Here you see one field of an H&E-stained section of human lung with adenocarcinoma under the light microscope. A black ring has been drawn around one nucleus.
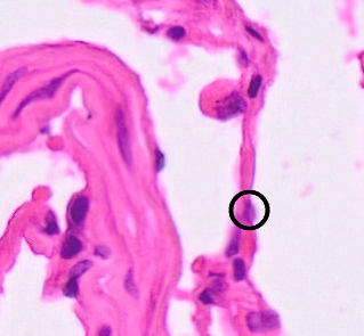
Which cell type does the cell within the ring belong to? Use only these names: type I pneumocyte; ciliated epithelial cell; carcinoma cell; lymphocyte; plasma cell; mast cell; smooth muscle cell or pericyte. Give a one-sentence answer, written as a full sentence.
In this tissue section, the cell within the ring is to be classed as a type I pneumocyte.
